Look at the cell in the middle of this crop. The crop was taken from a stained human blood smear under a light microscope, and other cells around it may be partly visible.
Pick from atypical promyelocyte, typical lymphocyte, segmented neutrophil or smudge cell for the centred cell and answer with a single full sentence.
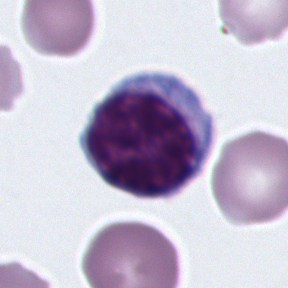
To answer, the cell in the center of the crop is a typical lymphocyte.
